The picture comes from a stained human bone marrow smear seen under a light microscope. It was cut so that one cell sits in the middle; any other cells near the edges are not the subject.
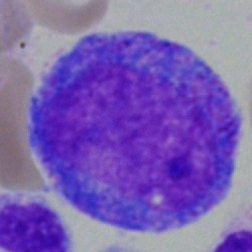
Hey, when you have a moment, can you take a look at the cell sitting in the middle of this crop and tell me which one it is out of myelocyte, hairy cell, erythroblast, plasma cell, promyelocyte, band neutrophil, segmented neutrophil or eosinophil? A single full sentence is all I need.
Here the cell in the middle is a promyelocyte.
